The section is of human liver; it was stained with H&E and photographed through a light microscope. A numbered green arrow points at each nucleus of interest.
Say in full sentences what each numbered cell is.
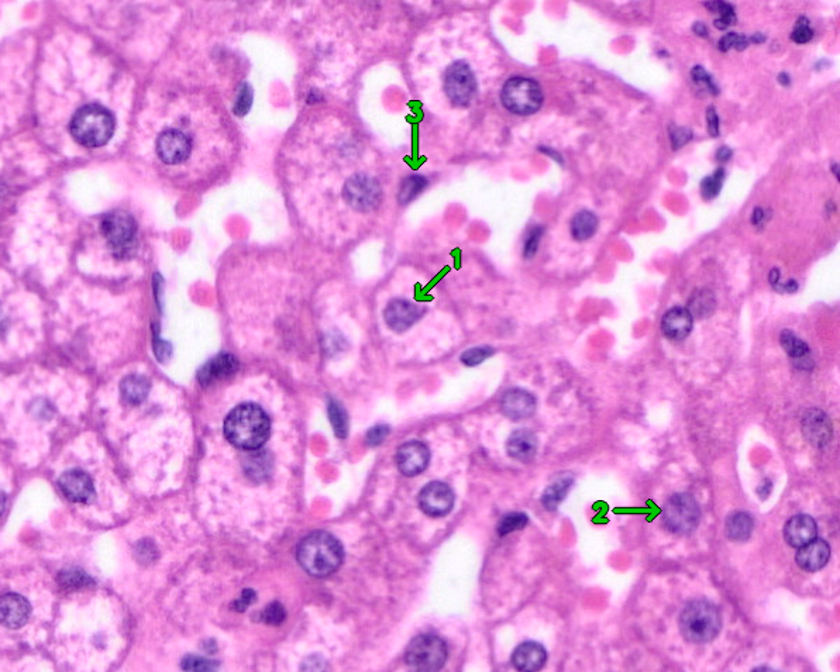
Cells 1 and 2 are hepatocytes. Cell 3 is a Kupffer cell.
